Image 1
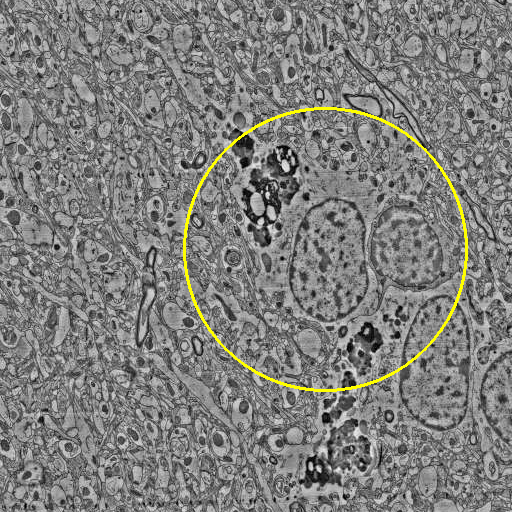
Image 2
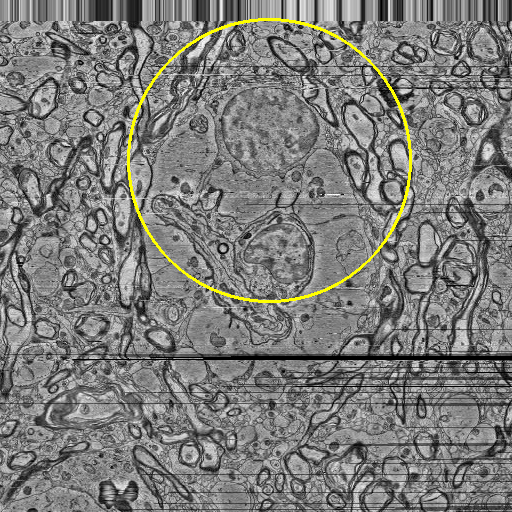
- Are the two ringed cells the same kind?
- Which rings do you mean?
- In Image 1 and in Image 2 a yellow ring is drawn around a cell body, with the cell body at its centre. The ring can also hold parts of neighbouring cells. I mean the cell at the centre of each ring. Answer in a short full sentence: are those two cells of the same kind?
No, the cells are of two kinds.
